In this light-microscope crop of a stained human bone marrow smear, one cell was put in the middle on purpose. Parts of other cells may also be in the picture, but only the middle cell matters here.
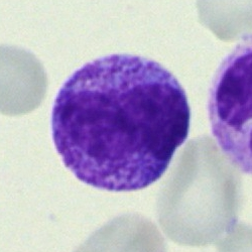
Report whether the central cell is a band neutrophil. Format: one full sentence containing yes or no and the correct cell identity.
No, the centre of the crop contains a metamyelocyte rather than a band neutrophil.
